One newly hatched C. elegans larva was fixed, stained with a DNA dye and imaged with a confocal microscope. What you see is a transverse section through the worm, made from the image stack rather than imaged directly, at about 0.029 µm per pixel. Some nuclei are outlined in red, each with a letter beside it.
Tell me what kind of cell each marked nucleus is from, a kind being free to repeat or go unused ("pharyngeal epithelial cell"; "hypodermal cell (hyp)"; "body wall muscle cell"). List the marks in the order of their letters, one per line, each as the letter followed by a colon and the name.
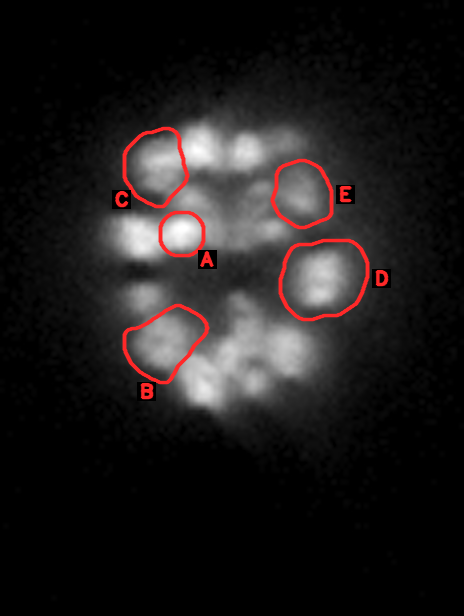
A: pharyngeal epithelial cell
B: body wall muscle cell
C: body wall muscle cell
D: hypodermal cell (hyp)
E: body wall muscle cell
